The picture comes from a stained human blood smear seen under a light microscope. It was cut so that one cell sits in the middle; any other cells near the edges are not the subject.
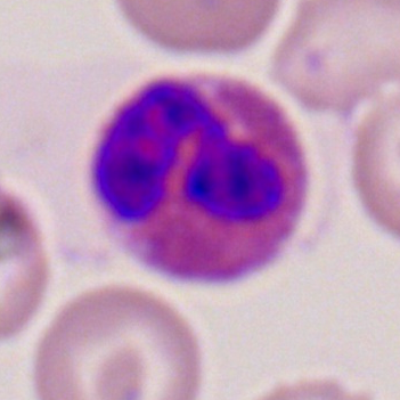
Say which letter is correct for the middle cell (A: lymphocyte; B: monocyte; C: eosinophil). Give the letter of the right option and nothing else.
C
